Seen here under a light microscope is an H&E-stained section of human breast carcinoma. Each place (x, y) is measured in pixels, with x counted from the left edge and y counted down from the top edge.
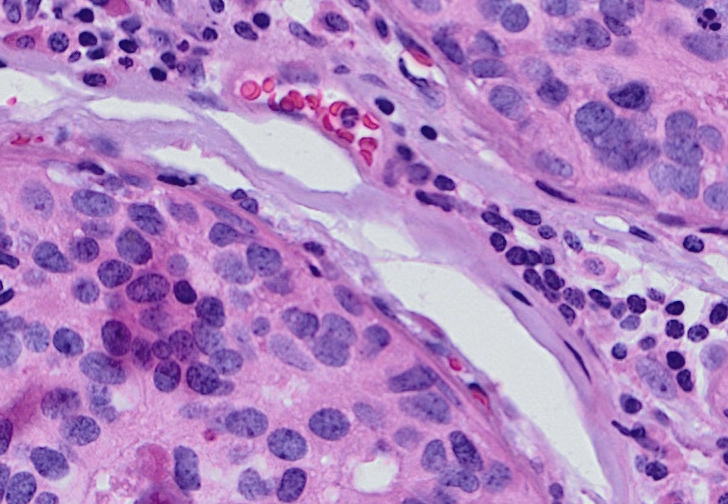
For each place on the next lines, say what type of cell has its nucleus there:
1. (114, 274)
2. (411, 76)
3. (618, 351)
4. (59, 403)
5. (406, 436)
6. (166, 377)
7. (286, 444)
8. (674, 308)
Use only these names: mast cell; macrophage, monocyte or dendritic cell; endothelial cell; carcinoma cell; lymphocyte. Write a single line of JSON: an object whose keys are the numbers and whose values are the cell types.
{"1": "carcinoma cell", "2": "endothelial cell", "3": "lymphocyte", "4": "carcinoma cell", "5": "carcinoma cell", "6": "carcinoma cell", "7": "carcinoma cell", "8": "lymphocyte"}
